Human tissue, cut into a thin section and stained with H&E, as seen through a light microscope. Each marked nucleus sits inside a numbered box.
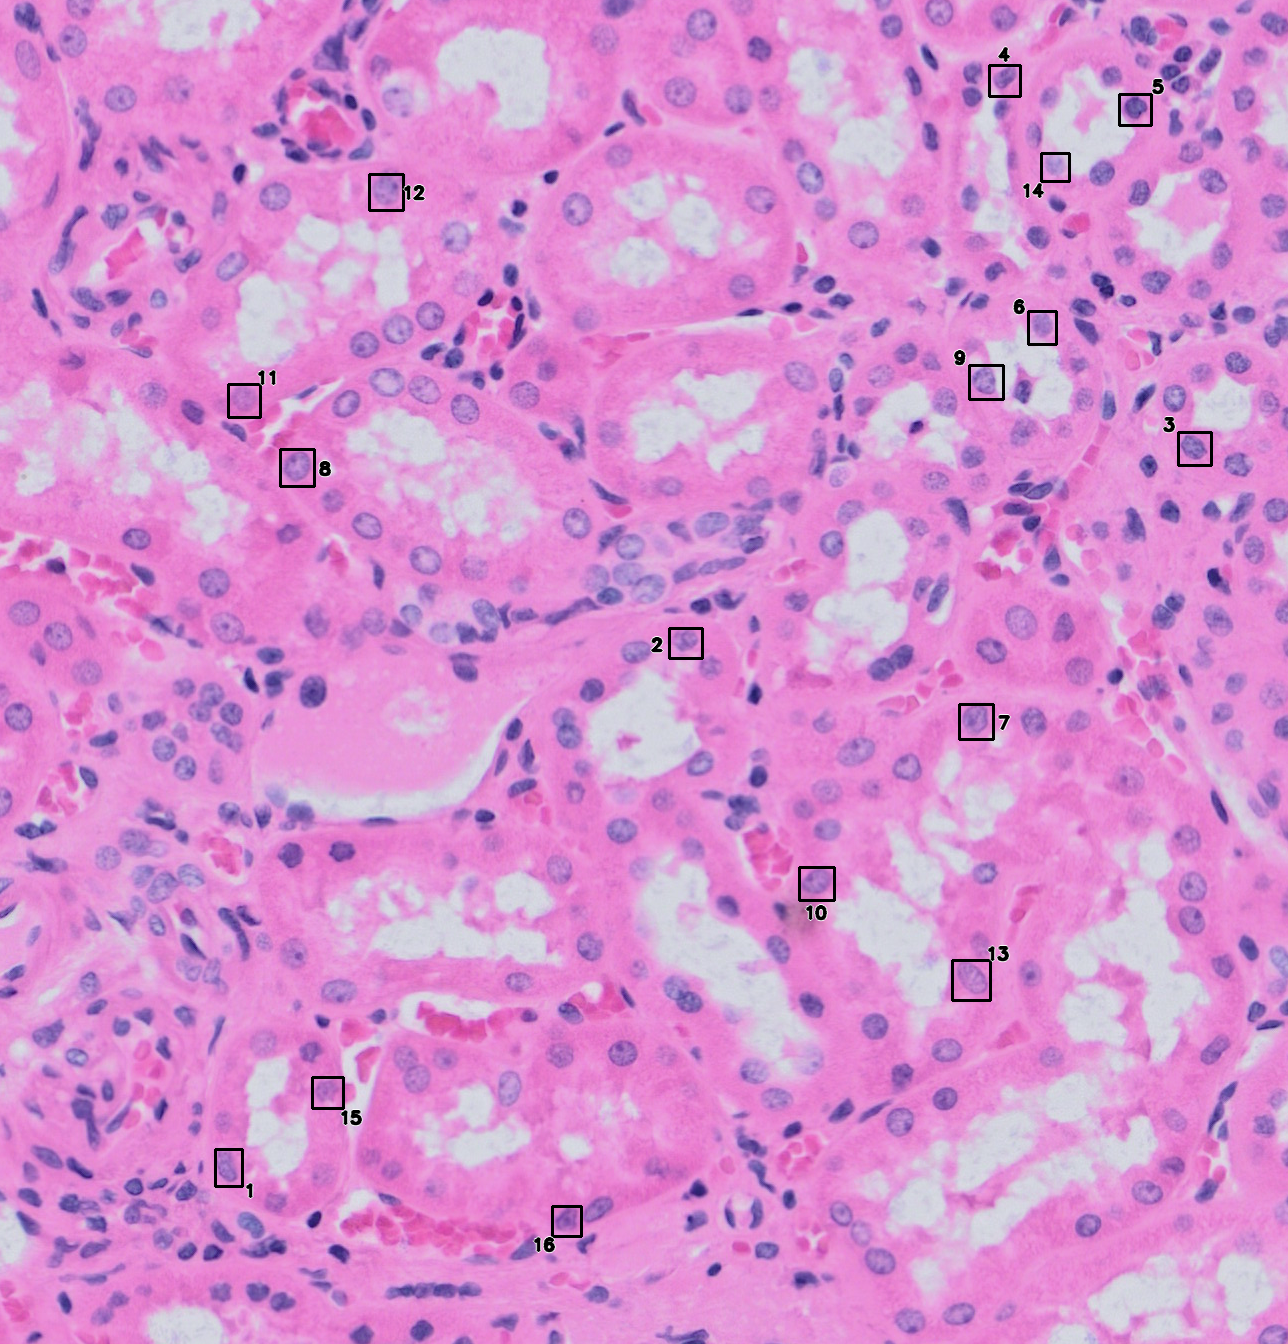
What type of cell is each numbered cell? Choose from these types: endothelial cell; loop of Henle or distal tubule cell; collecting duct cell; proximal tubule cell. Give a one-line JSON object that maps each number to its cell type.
{"1": "proximal tubule cell", "2": "loop of Henle or distal tubule cell", "3": "loop of Henle or distal tubule cell", "4": "loop of Henle or distal tubule cell", "5": "loop of Henle or distal tubule cell", "6": "loop of Henle or distal tubule cell", "7": "proximal tubule cell", "8": "proximal tubule cell", "9": "loop of Henle or distal tubule cell", "10": "proximal tubule cell", "11": "proximal tubule cell", "12": "proximal tubule cell", "13": "proximal tubule cell", "14": "loop of Henle or distal tubule cell", "15": "proximal tubule cell", "16": "proximal tubule cell"}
